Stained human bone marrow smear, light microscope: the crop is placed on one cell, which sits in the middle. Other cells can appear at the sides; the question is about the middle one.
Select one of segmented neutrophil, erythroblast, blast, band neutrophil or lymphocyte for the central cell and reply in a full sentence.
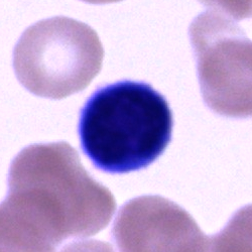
The cell of interest, in the center, is a lymphocyte.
